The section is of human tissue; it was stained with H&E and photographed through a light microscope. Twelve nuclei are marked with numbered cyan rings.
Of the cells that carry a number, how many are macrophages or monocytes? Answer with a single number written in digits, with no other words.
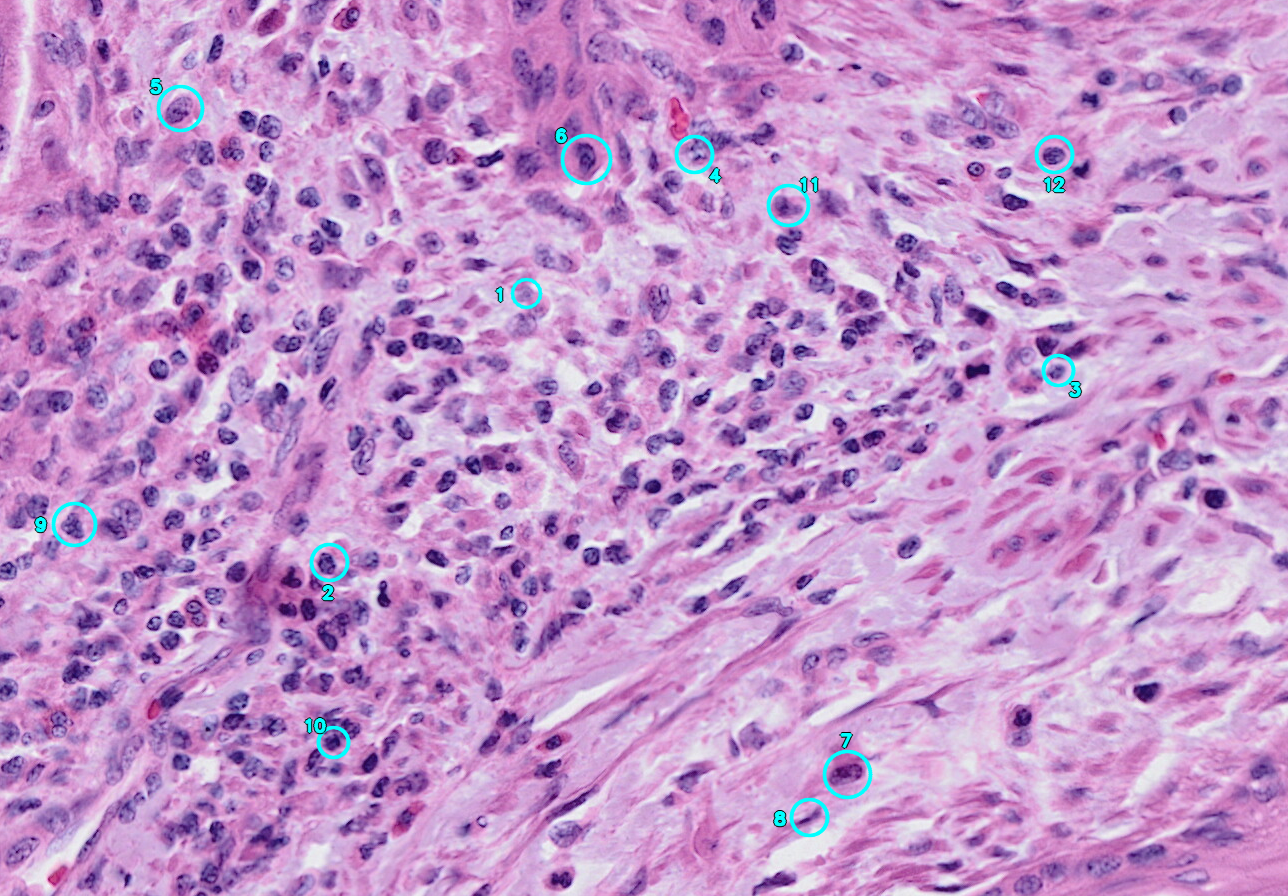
3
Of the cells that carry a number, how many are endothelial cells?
1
